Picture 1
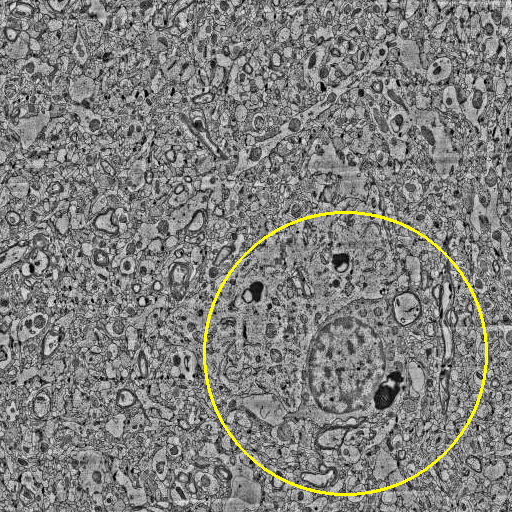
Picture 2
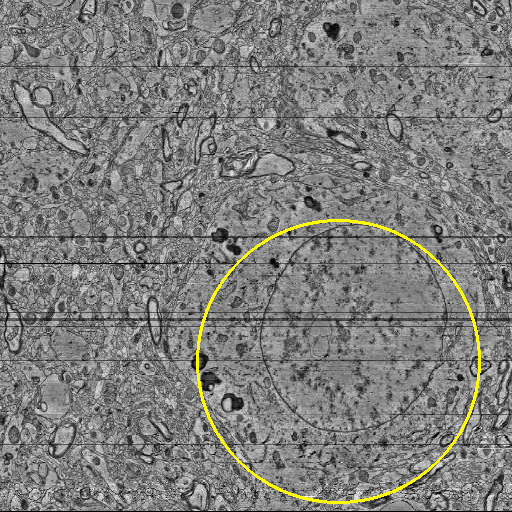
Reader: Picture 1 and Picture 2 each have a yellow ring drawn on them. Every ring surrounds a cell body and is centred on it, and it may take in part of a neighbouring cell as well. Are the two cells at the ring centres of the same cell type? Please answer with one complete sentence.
No, the cells are of two cell types.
